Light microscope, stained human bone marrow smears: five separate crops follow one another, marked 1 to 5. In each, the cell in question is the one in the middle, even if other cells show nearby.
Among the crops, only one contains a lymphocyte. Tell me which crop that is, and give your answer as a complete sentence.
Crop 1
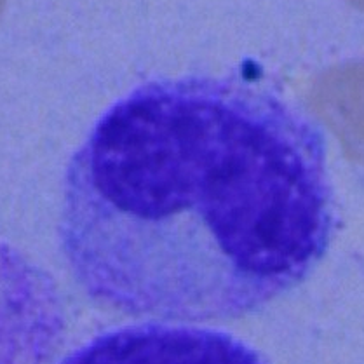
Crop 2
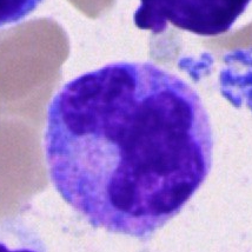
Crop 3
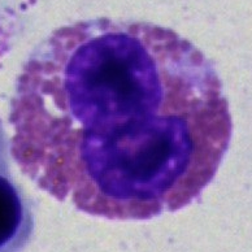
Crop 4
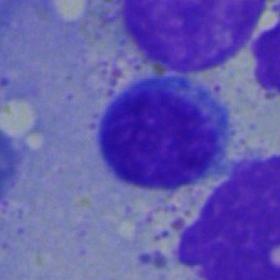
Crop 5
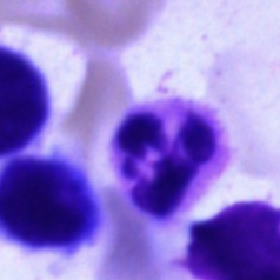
Of the crops given, a lymphocyte is found in crop 4.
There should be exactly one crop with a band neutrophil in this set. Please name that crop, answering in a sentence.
Of the labelled crops, the one that shows a band neutrophil is crop 1.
